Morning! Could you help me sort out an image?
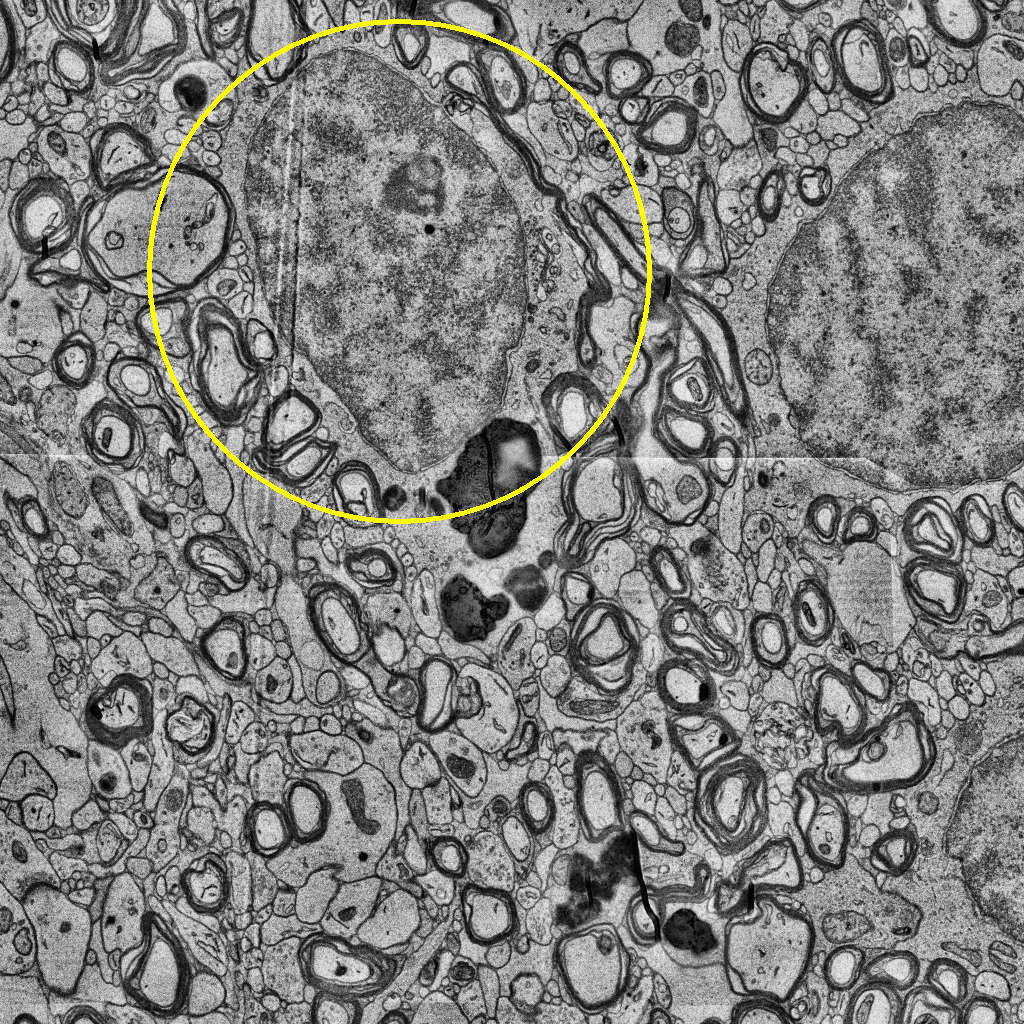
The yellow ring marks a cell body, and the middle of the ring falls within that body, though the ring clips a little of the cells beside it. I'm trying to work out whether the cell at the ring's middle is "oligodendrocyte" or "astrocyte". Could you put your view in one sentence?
The cell body at the ring's middle is that of an oligodendrocyte.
